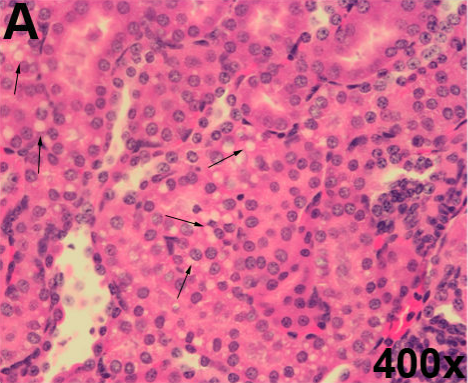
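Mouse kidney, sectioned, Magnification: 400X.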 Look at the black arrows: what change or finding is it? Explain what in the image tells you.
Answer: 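Vacuolated tubules. The arrows point to small round clear spaces within the pink cytoplasm of tubule epithelial cells. The clear spaces cluster in the cells of a few tubules, while neighbouring tubules lack them. The affected cells otherwise have round nuclei like their neighbours.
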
